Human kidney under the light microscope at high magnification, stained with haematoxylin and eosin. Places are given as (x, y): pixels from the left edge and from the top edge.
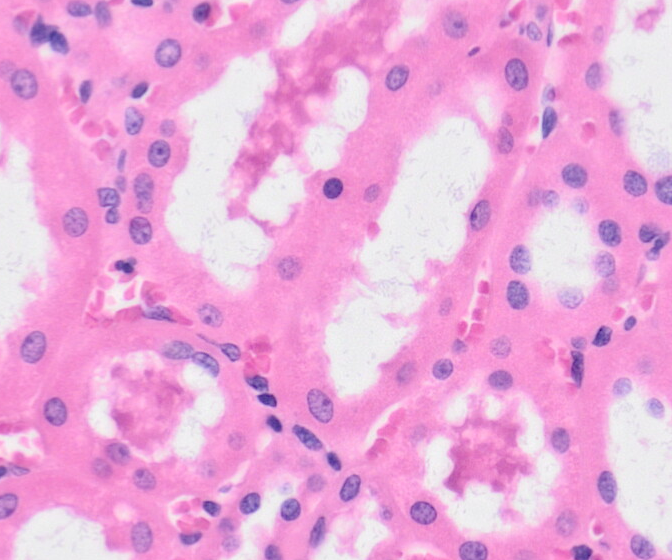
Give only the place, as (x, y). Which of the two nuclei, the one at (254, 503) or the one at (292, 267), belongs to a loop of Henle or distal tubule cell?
(254, 503)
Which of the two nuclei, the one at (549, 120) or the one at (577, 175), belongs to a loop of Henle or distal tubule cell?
(577, 175)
